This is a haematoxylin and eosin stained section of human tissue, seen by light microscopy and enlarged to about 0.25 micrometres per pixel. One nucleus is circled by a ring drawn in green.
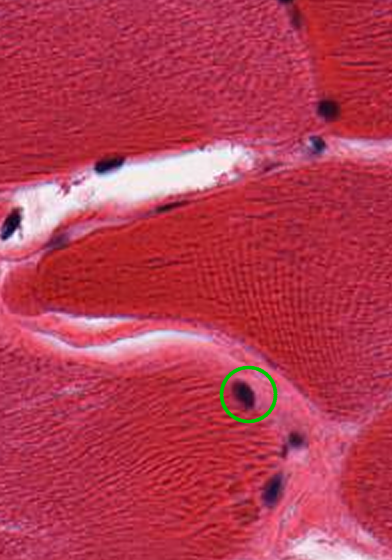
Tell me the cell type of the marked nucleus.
skeletal muscle fibre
